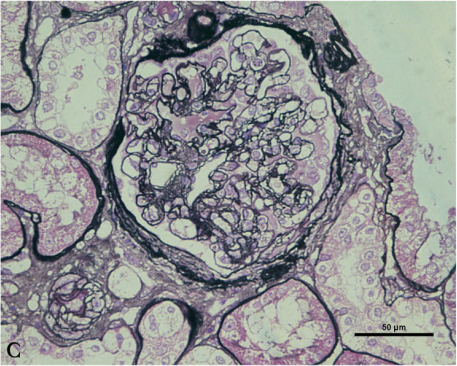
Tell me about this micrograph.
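Here a glomerulus sits in the middle, surrounded by cross-sections of renal tubules. Around the glomerulus, tubules are lined by cuboidal epithelial cells with pale, bubbly cytoplasm and round nuclei, each tubule outlined by its own black basement membrane. A small second glomerular profile lies at the lower left.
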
